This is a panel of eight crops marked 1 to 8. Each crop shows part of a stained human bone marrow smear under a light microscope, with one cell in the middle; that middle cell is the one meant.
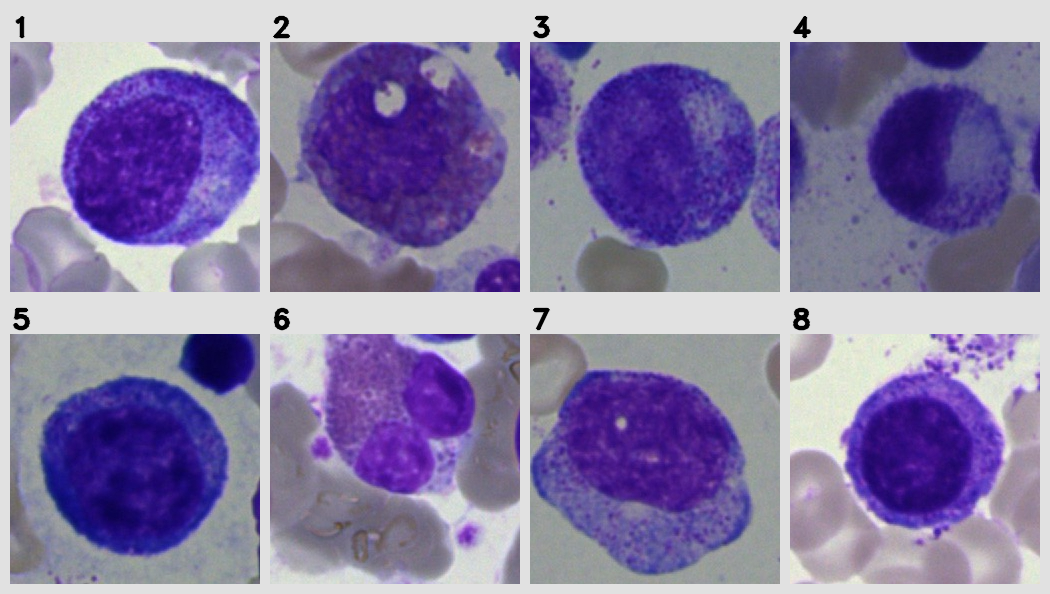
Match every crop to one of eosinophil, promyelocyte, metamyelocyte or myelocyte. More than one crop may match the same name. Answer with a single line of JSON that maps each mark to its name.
{"1": "promyelocyte", "2": "eosinophil", "3": "promyelocyte", "4": "metamyelocyte", "5": "promyelocyte", "6": "eosinophil", "7": "promyelocyte", "8": "myelocyte"}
